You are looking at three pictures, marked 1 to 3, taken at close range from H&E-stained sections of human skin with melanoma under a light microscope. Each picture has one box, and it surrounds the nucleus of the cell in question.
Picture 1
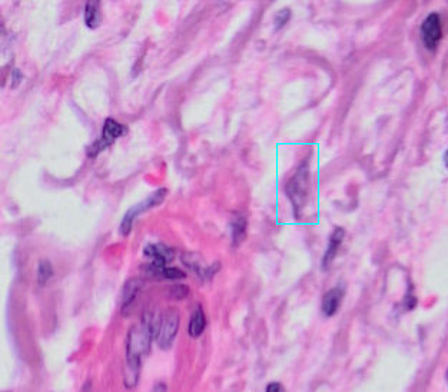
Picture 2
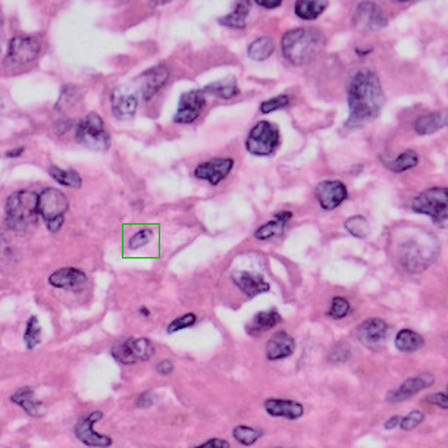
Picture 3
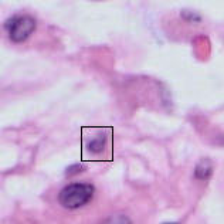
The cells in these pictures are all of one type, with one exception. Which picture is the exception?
1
